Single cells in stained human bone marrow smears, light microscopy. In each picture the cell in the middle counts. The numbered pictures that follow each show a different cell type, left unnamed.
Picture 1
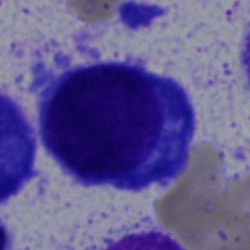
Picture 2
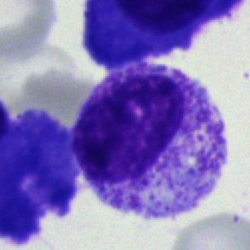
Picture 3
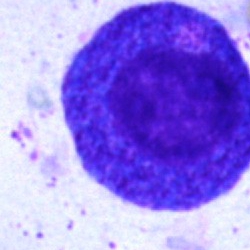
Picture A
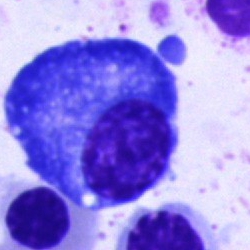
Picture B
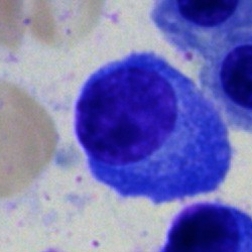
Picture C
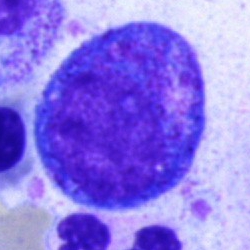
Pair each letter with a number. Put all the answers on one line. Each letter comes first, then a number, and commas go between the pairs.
A 1, B 1, C 3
